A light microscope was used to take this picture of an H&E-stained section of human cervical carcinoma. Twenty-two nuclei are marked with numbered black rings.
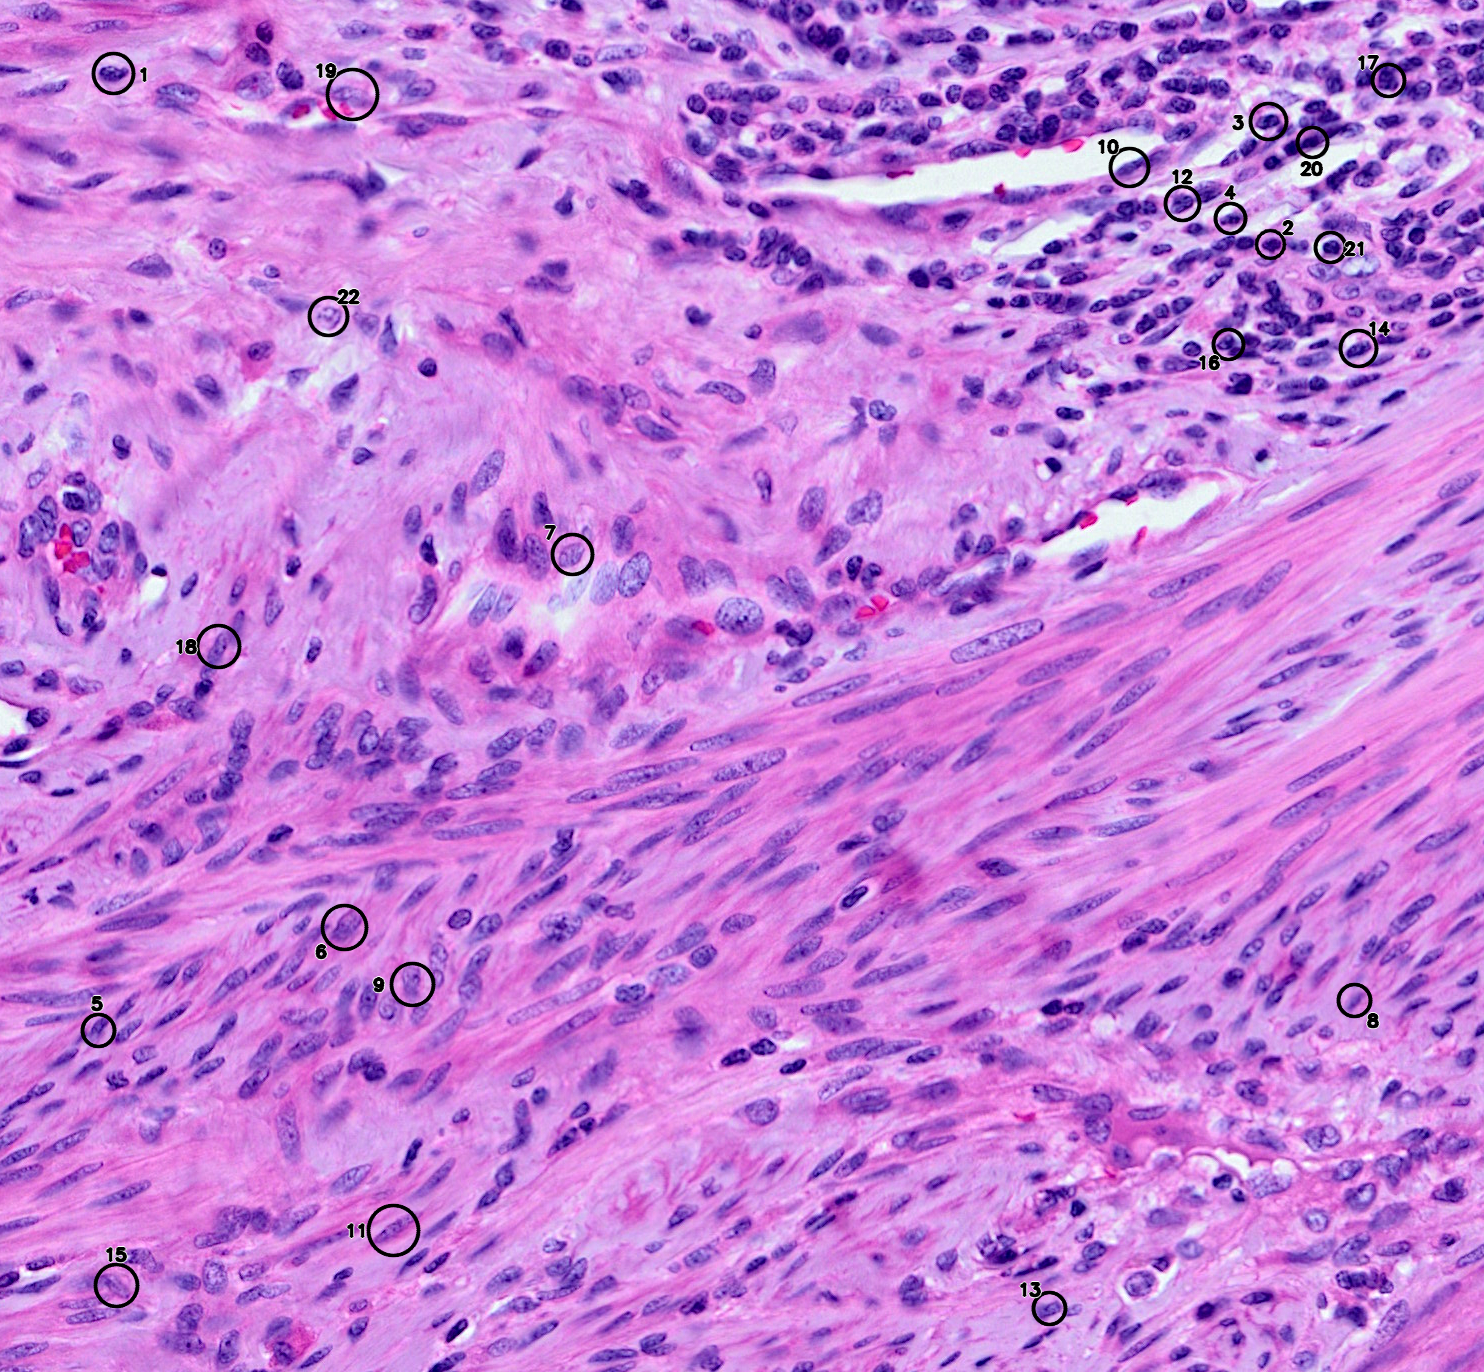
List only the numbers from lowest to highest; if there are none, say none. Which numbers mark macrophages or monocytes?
22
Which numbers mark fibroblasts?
13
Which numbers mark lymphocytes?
1, 2, 3, 4, 12, 14, 16, 17, 20, 21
